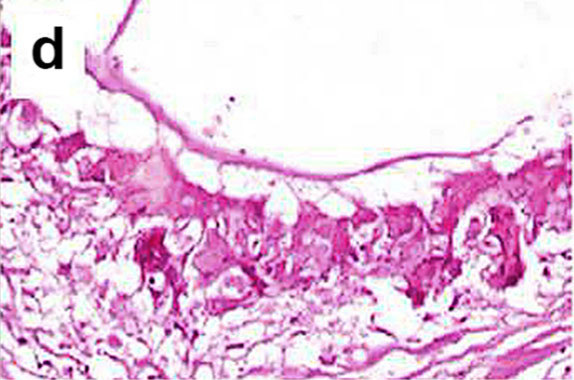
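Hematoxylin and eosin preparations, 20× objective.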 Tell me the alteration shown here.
Foreign body giant cell reactions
